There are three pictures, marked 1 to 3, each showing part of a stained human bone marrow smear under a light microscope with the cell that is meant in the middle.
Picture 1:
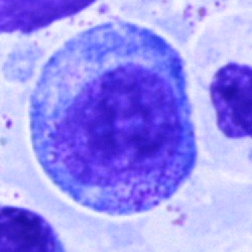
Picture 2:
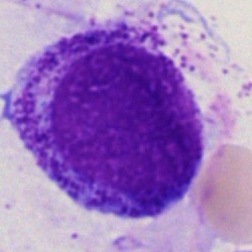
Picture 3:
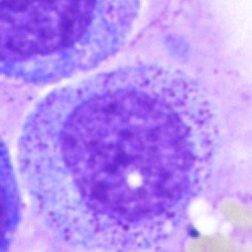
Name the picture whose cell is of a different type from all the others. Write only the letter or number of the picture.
3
